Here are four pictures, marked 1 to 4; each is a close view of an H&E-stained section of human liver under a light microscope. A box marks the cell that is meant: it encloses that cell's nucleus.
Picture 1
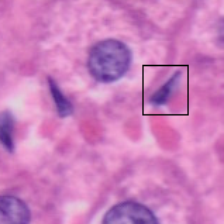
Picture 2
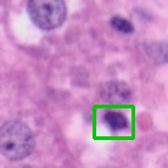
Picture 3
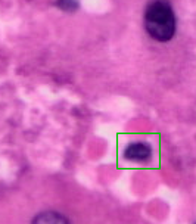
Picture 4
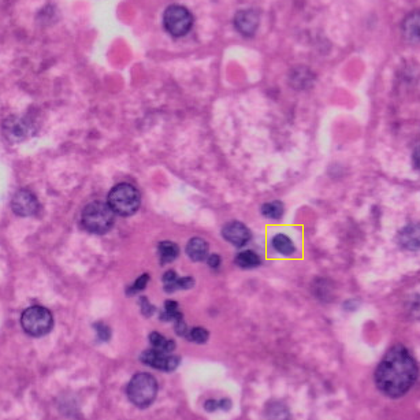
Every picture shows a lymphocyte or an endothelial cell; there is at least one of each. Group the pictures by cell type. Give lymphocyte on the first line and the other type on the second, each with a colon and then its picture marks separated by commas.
lymphocyte: 2, 3, 4
endothelial cell: 1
